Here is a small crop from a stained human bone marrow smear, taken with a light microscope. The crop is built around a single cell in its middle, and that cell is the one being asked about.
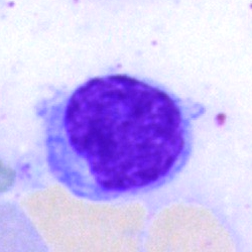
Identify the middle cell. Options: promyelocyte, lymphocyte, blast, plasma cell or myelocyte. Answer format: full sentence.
The centrally located cell in the crop is a lymphocyte.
